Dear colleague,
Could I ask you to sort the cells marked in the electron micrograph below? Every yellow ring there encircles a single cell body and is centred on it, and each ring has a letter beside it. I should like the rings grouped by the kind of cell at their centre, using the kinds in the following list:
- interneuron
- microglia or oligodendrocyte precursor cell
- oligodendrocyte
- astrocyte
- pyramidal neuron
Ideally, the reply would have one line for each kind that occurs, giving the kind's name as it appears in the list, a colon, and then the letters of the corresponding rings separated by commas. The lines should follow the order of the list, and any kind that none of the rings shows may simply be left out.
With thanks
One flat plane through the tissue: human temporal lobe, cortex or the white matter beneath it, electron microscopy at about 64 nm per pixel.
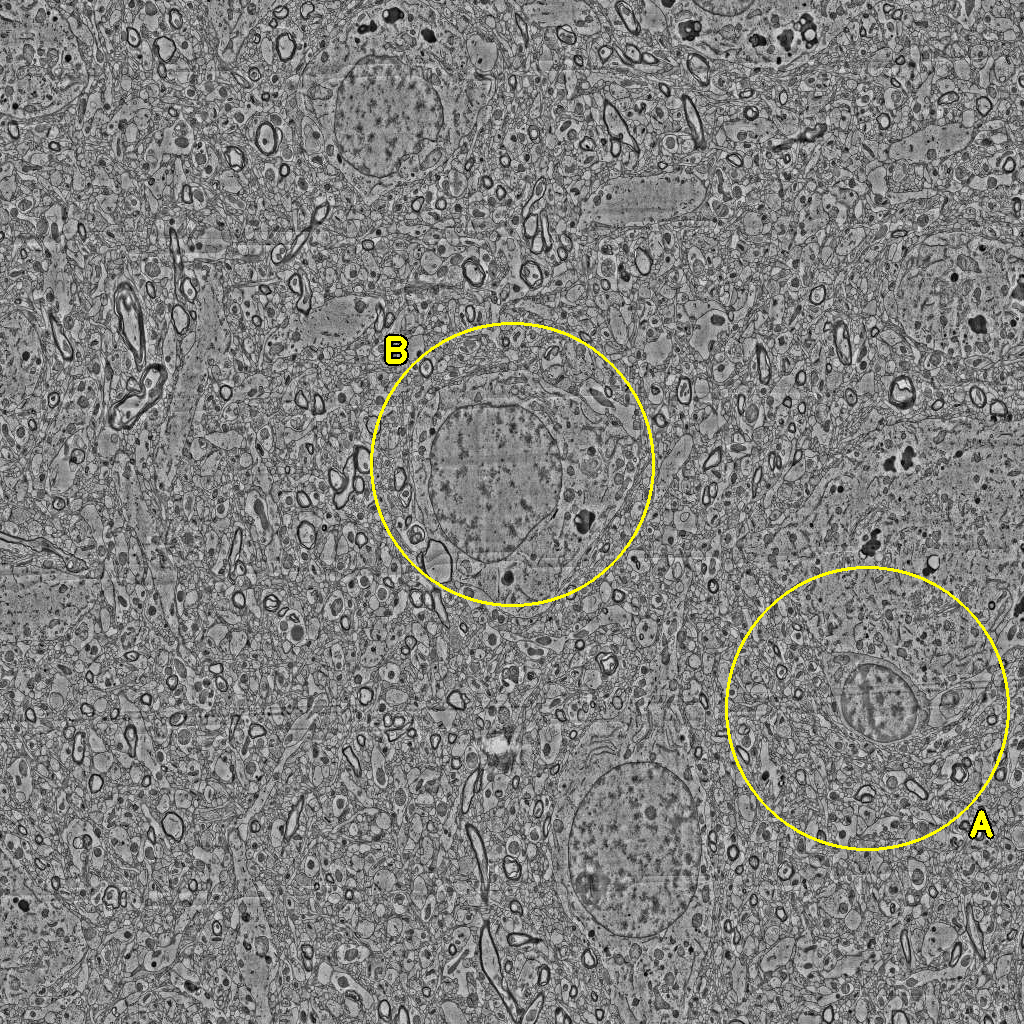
oligodendrocyte: A
pyramidal neuron: B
